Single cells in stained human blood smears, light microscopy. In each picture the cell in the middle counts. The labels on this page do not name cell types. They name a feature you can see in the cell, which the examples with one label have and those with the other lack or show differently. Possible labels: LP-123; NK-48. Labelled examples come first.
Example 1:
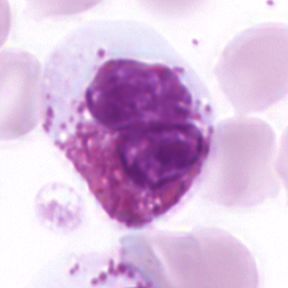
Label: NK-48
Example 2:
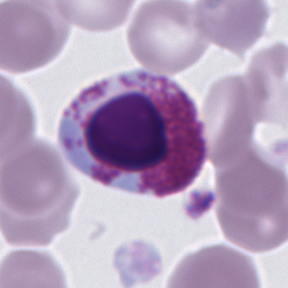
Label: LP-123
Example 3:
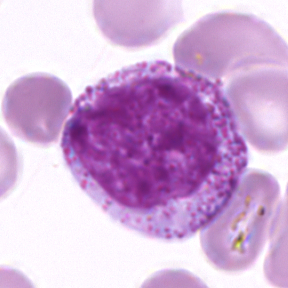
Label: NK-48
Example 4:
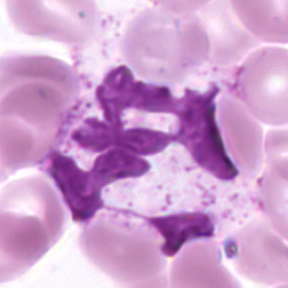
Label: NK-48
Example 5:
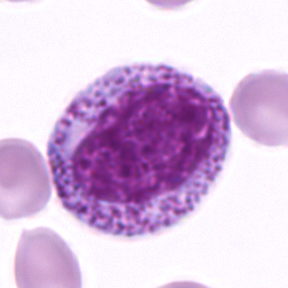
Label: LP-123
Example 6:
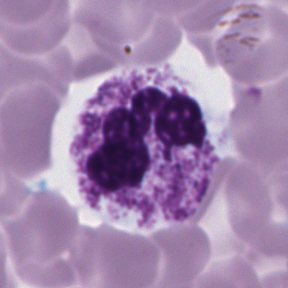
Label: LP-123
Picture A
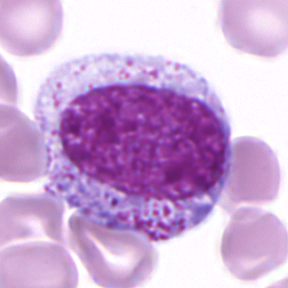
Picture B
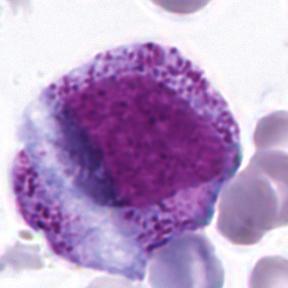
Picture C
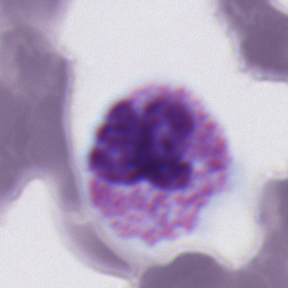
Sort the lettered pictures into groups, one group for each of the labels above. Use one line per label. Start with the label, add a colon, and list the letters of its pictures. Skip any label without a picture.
LP-123: B, C
NK-48: A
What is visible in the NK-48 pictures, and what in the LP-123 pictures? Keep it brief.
NK-48, fine or small granules; LP-123, coarse or large granules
